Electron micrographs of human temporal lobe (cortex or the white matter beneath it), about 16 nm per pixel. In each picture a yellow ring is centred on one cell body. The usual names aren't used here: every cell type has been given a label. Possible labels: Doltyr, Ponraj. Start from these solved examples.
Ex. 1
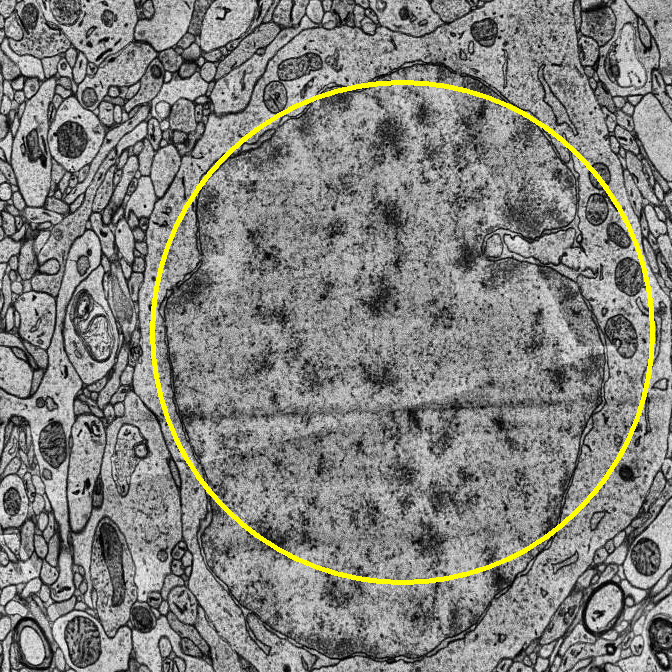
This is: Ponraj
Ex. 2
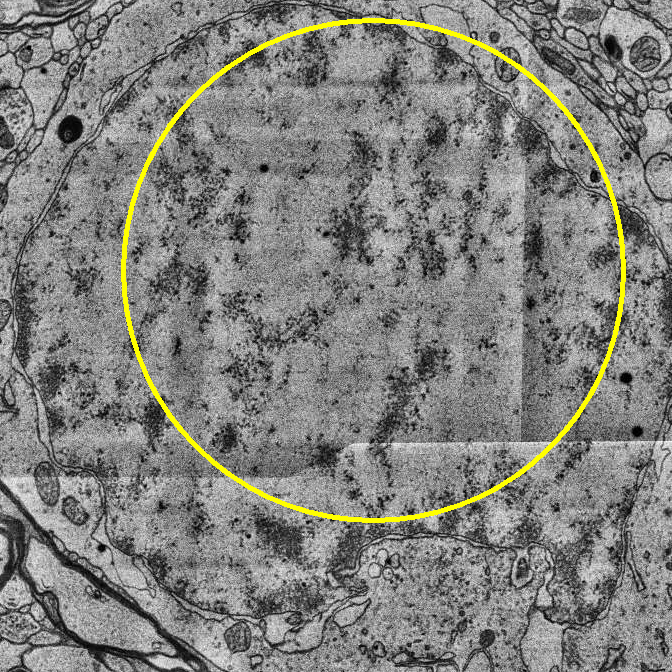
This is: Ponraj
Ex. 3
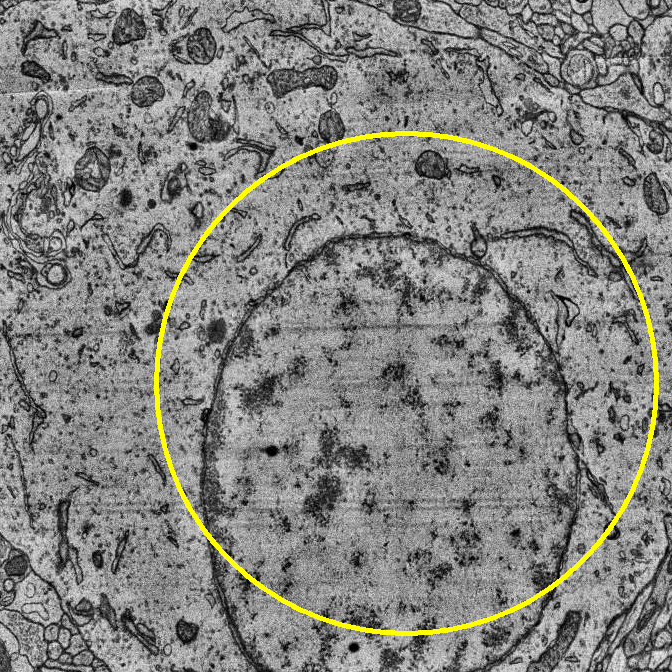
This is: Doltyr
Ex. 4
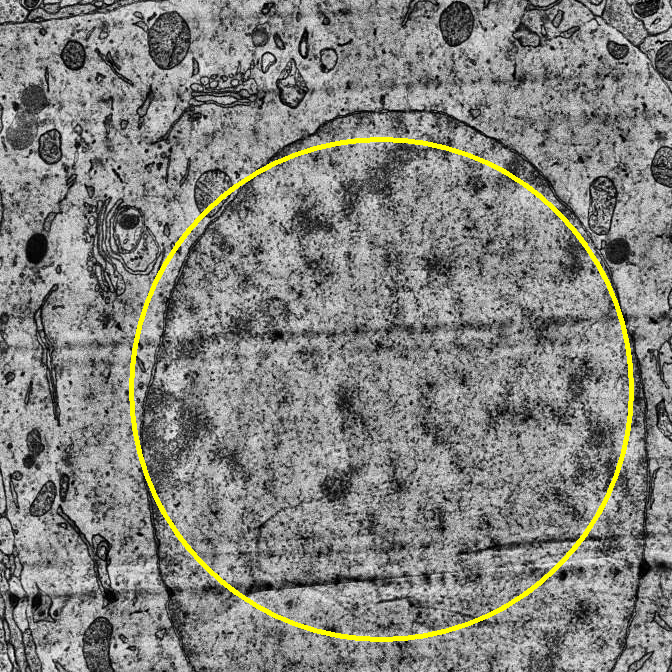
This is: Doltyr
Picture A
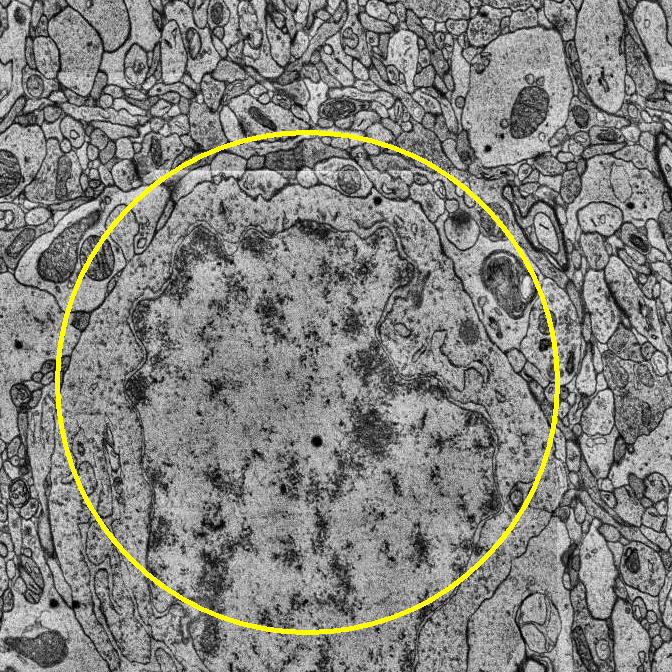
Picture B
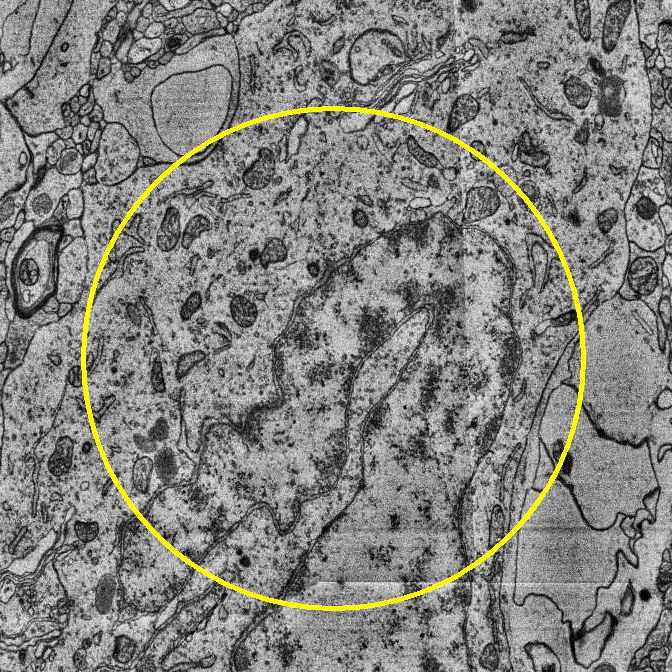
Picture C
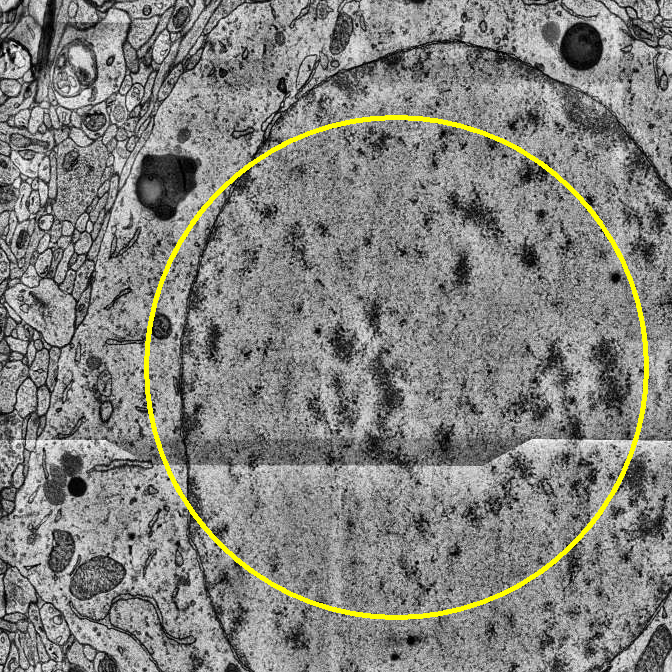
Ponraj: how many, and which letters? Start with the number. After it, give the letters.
2: A, B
